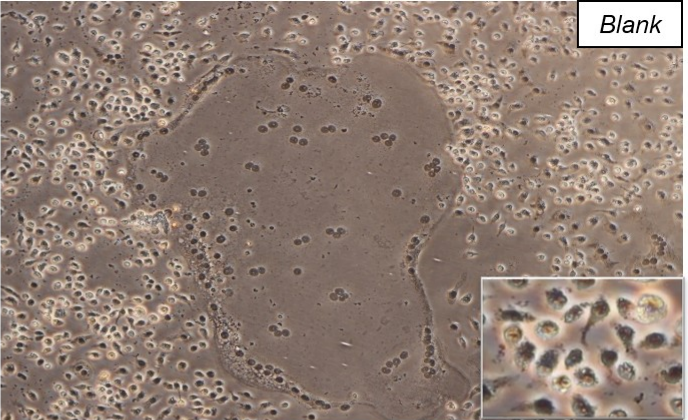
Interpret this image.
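This culture shows an osteoclast, a huge flat cell that spreads across most of the middle of the field. Its edge is marked by a thin, slightly raised rim, and inside it many small round nuclei lie scattered, some alone and some in small groups. Around this giant cell the dish is crowded with much smaller cells, some round and some drawn out into short spindles or with small processes. The contrast in size between the single giant cell with many nuclei and the small cells around it is the main thing to notice.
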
